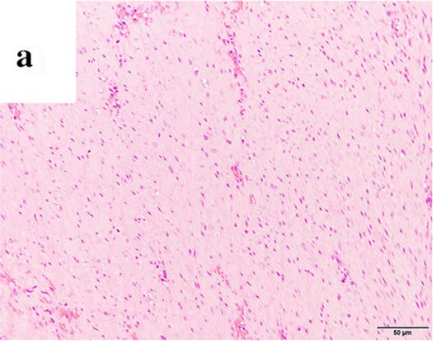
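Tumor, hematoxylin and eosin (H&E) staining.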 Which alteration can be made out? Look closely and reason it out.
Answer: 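Abundant collagenous stroma. Most of the field is pale pink fibrous matrix. Cells are sparse and widely separated within the matrix.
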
